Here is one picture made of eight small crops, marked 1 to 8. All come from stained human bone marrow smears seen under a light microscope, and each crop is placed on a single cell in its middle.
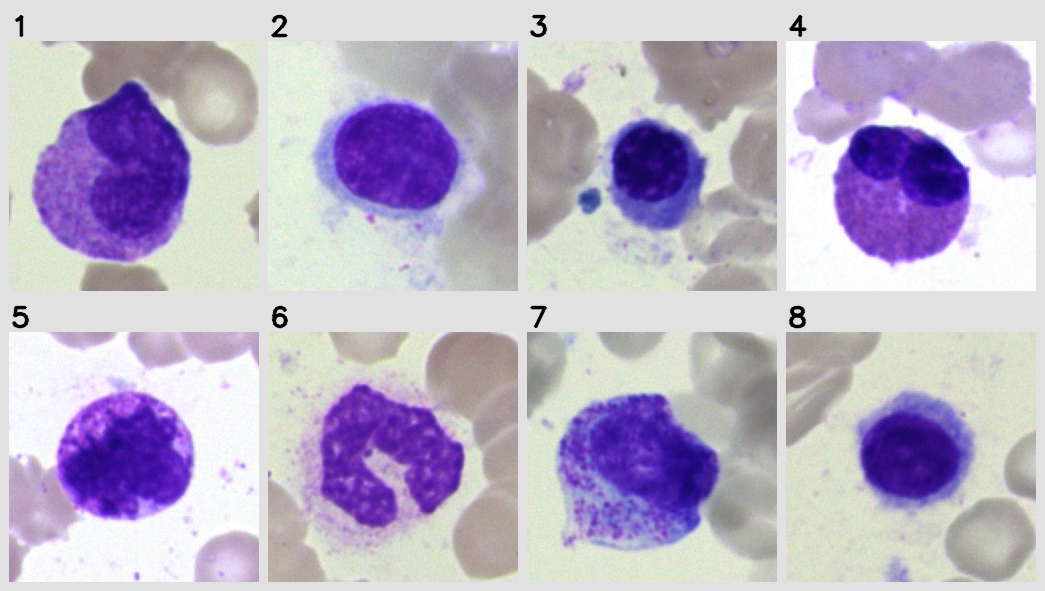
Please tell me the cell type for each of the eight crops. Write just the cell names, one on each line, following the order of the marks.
metamyelocyte
hairy cell
erythroblast
eosinophil
basophil
band neutrophil
myelocyte
hairy cell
